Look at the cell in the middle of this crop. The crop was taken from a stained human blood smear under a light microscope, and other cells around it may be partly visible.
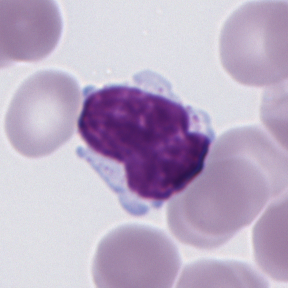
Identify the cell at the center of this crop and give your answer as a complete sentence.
The cell of interest, located centrally, is a large granular lymphocyte.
